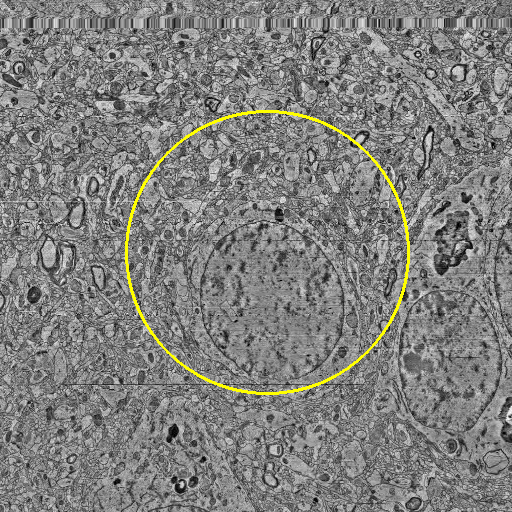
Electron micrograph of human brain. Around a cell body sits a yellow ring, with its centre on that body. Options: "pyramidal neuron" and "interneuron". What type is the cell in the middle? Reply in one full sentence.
The cell sitting at the centre of the yellow ring is a pyramidal neuron.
